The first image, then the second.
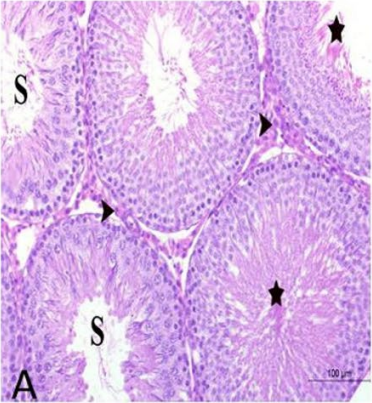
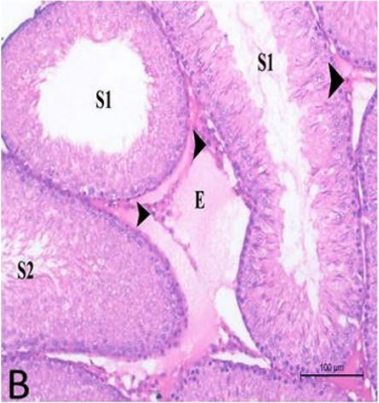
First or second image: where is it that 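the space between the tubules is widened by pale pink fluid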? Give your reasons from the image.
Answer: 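The second image. Second image: a broad space between tubules filled with homogeneous pale pink material. First image: tubules lie close together with narrow interstitial spaces holding small cell clusters.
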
